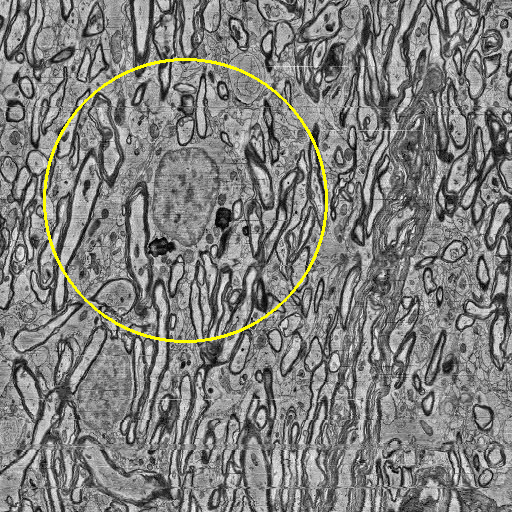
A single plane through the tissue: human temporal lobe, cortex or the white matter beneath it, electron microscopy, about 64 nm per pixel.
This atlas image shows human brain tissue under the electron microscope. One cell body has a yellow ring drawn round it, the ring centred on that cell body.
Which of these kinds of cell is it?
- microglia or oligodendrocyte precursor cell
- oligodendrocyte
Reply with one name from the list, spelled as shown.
oligodendrocyte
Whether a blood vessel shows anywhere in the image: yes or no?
No, no vessel shows anywhere in the image.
